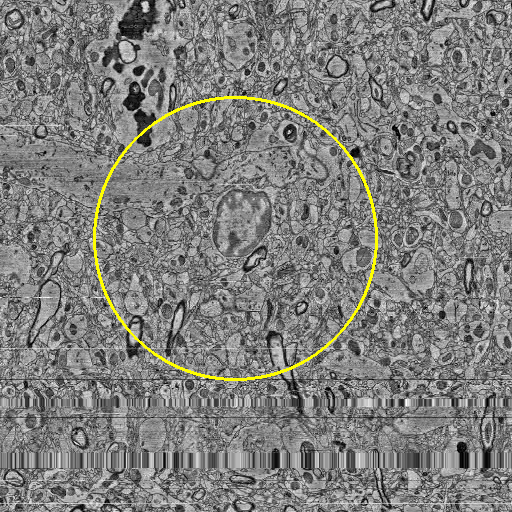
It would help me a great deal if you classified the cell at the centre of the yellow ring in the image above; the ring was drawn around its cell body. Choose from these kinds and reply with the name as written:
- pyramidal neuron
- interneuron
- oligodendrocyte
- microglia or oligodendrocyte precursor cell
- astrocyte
microglia or oligodendrocyte precursor cell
